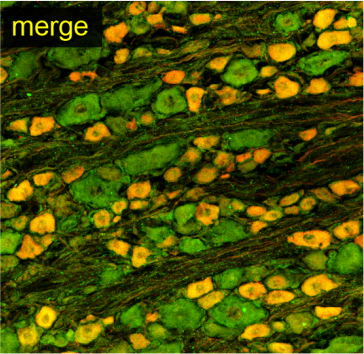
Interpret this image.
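This is a sensory ganglion in which neuronal cell bodies lie in rows between diagonal bundles of nerve fibres. All neuronal cell bodies are green, but a subset of them appear yellow to orange, and these are the smaller, round neurons. The larger neurons stay green, with only faint red. The yellow cells are scattered among the green ones rather than grouped in one region. Some cell bodies show a darker central nucleus. The fibre bundles between the rows appear as fine, streaky, dim green and reddish strands running in parallel.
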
